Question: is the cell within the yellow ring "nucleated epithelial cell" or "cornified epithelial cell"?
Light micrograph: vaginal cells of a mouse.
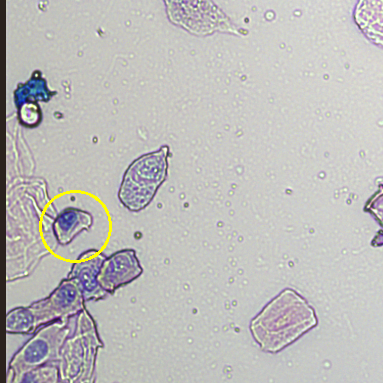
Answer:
nucleated epithelial cell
